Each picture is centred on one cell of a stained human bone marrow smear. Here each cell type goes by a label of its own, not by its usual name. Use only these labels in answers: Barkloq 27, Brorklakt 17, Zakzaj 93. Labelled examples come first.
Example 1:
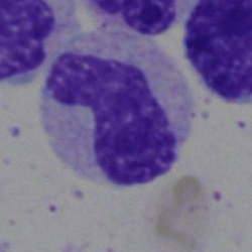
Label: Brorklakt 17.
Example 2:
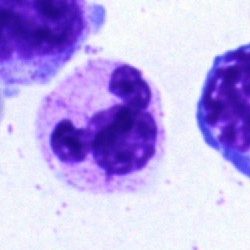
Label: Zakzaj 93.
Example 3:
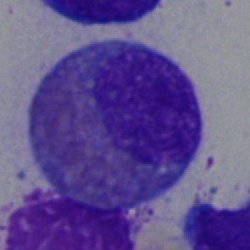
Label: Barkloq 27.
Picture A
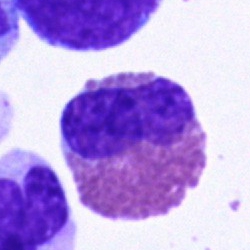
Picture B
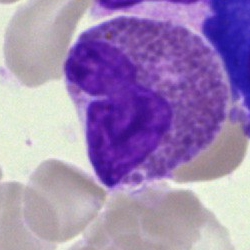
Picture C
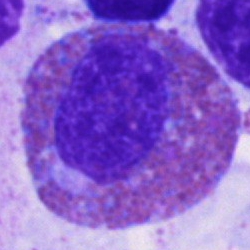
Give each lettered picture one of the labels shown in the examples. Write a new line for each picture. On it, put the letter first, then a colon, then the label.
A: Barkloq 27.
B: Barkloq 27.
C: Barkloq 27.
